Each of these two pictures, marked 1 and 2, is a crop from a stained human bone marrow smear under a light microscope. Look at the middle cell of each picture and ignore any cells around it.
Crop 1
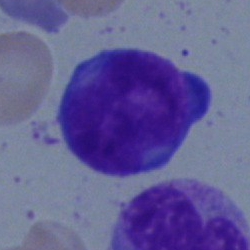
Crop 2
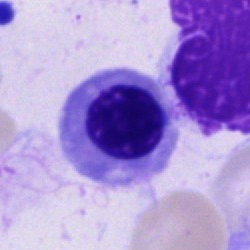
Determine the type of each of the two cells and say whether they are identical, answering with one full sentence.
No, crop 1 shows a blast, whereas in crop 2 the cell is an erythroblast.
